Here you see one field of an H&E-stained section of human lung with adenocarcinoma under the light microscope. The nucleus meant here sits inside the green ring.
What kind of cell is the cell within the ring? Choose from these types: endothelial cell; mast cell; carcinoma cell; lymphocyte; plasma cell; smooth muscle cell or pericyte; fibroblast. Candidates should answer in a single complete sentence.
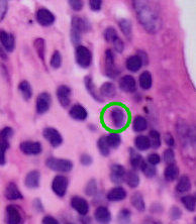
Just put down that the cell within the ring is a lymphocyte.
